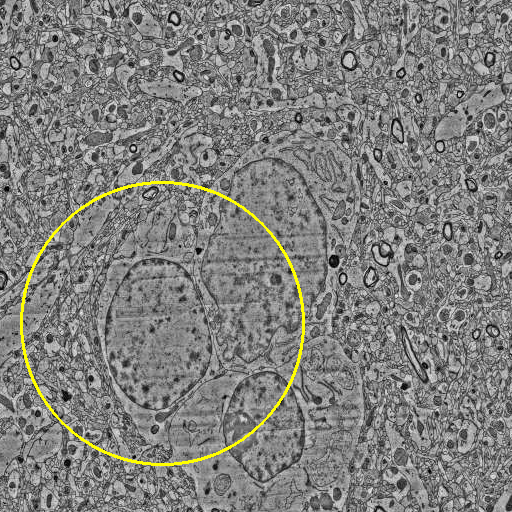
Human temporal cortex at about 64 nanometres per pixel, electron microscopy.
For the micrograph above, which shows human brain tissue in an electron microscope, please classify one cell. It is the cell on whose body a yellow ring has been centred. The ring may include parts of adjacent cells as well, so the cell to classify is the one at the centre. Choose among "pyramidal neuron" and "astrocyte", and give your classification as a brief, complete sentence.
I classify this cell as an astrocyte.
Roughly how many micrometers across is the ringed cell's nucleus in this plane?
About 9 micrometres by about 7 micrometres in this plane.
